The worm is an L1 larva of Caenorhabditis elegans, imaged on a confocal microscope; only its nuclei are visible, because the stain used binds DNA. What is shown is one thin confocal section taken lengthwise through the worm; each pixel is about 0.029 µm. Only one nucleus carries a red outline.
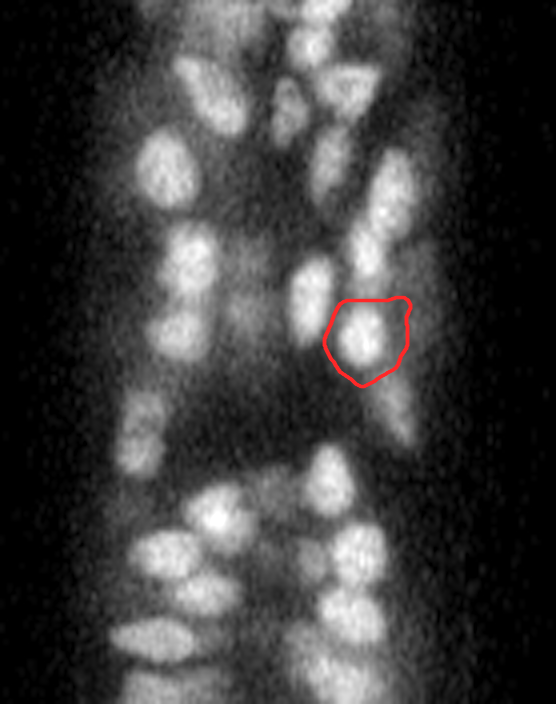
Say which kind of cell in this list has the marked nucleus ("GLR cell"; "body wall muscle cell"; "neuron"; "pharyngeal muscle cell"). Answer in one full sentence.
What is marked is the nucleus of a neuron.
